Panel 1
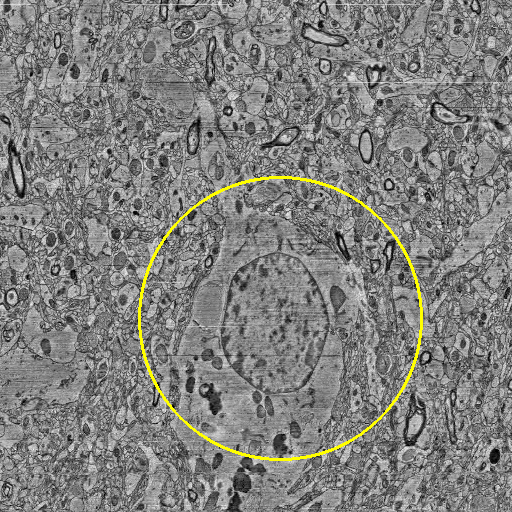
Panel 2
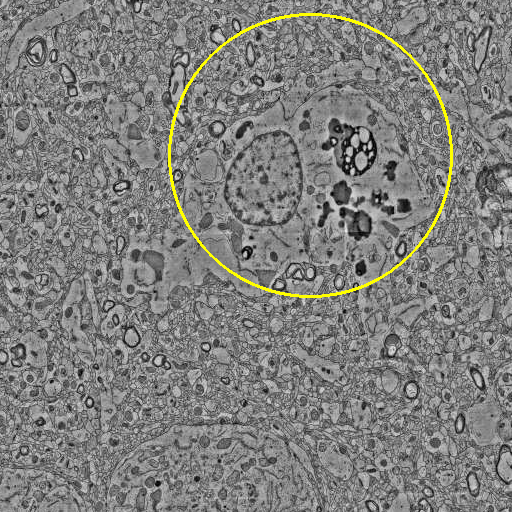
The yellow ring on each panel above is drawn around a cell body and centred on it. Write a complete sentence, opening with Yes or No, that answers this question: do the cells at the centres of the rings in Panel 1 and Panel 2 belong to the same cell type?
Yes, both cells belong to the same cell type.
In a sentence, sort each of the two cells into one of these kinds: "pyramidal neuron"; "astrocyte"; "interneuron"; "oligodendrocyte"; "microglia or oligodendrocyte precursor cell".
The cell at the ring centre is an astrocyte in both pictures.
